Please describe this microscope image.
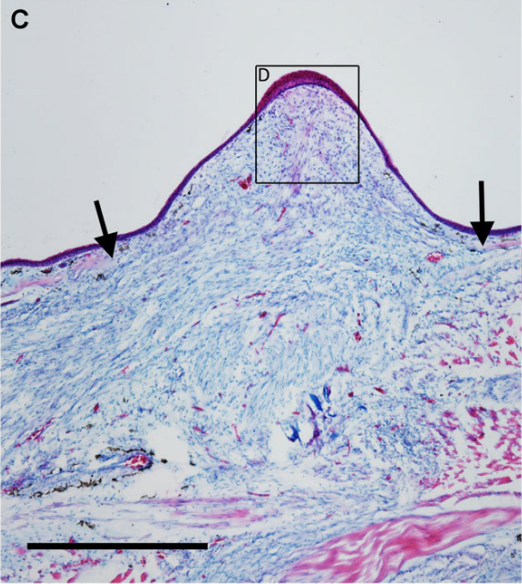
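A low-magnification section through a dome-shaped skin outgrowth filled with mesenchymal cells. A thin purple epidermis covers the surface and becomes much thicker at the apex. On the flanks, beneath the epidermis, runs a compact fibrous layer that ends at the base of the dome. The dome contains loosely arranged cells with small dark nuclei among pale blue fibres. Deeper down lie bundles of red-stained muscle fibres, scattered black pigment, and small vessels with red contents.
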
